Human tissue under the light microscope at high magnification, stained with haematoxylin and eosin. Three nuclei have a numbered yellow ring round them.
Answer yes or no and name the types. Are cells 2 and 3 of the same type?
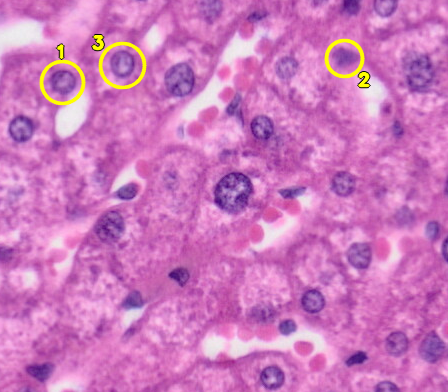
No, as to type, cell 2 is an endothelial cell, and cell 3 is a hepatocyte.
